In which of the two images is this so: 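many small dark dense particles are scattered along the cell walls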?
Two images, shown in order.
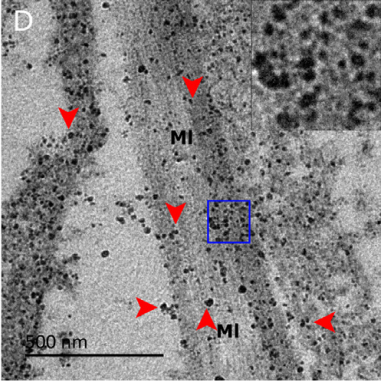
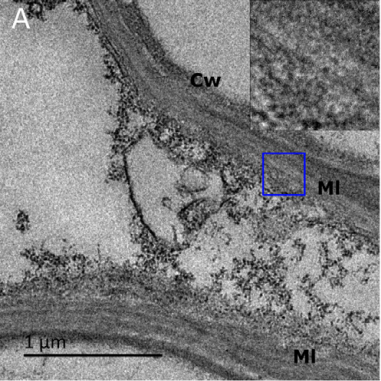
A: The first image.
